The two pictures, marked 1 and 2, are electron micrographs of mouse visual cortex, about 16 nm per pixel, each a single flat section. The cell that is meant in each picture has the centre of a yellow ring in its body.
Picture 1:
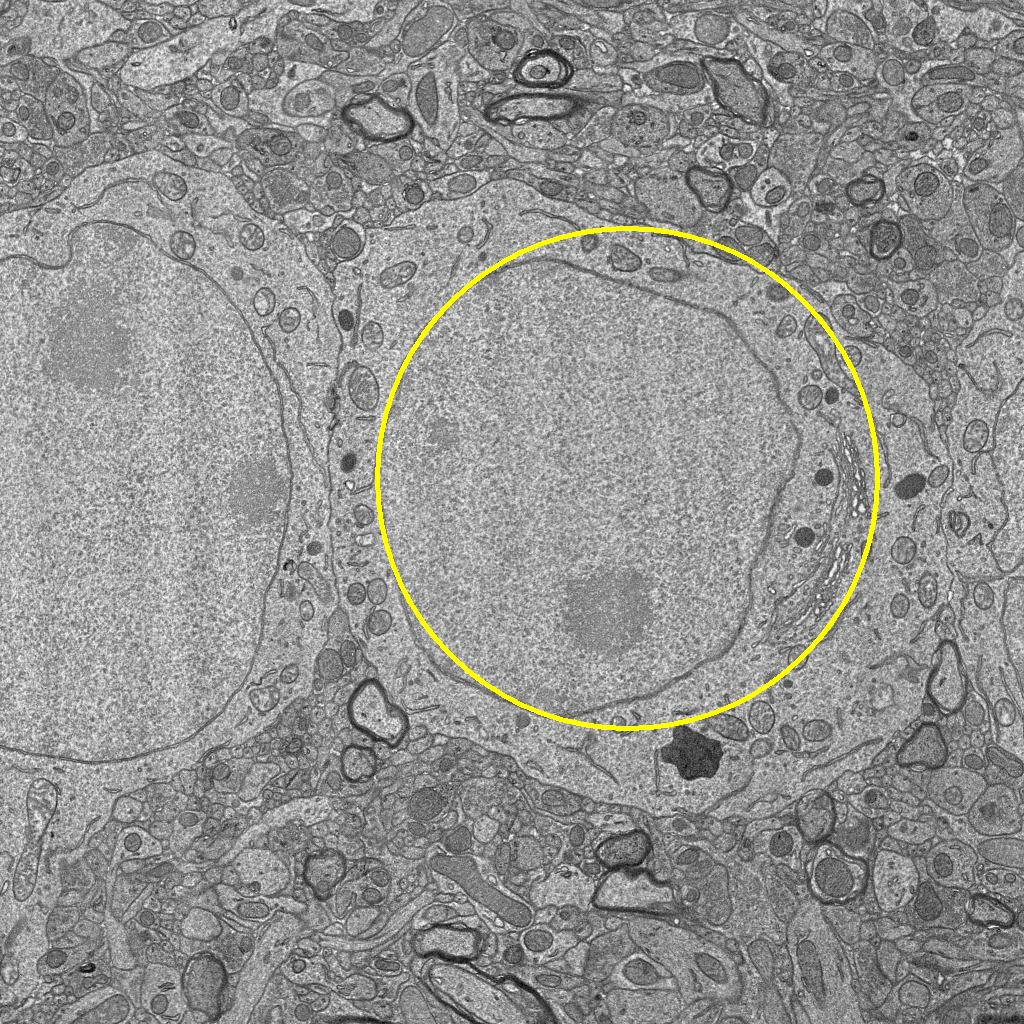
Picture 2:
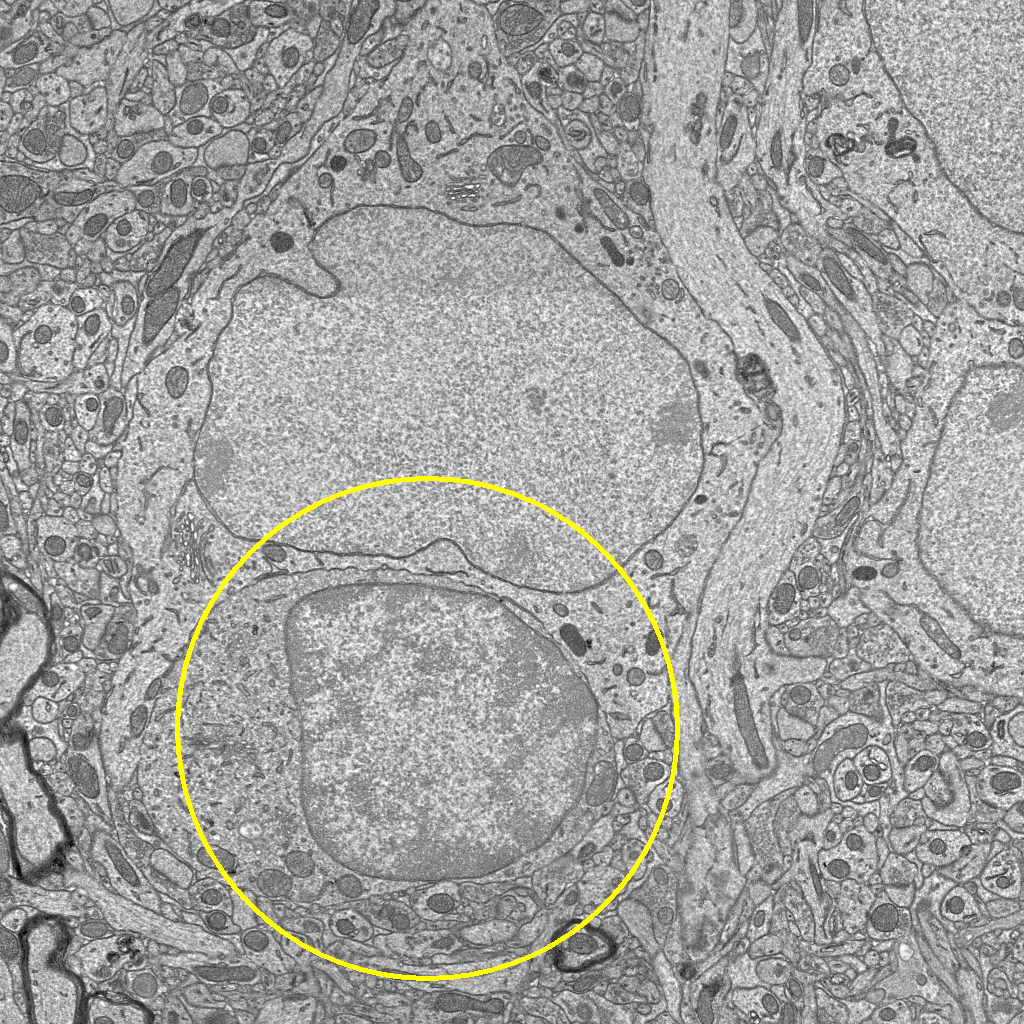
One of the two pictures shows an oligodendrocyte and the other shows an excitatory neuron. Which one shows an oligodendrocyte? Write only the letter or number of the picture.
2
